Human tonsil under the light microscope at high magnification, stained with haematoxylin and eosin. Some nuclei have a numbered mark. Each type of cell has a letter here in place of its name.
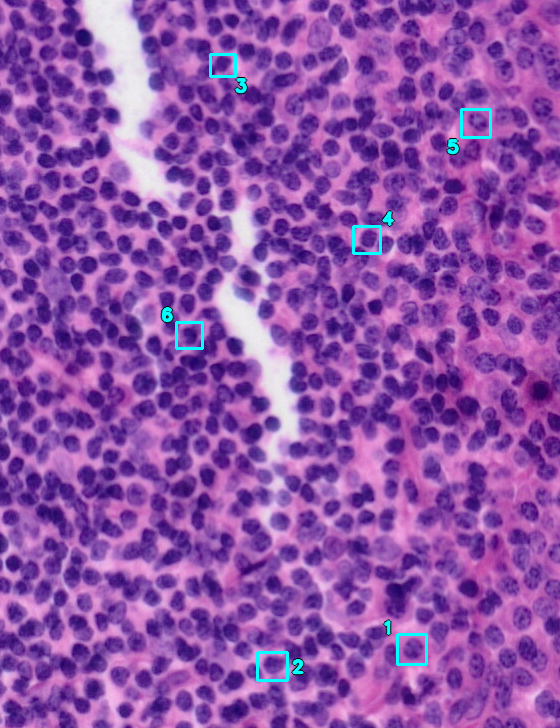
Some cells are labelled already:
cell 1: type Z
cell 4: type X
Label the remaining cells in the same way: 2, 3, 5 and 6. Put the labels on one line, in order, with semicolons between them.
type X; type X; type Z; type X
